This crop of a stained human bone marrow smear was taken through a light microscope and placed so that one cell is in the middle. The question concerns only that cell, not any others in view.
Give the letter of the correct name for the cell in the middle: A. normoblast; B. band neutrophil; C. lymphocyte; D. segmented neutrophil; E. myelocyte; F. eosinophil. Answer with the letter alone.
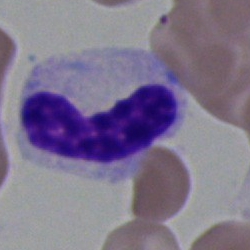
B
